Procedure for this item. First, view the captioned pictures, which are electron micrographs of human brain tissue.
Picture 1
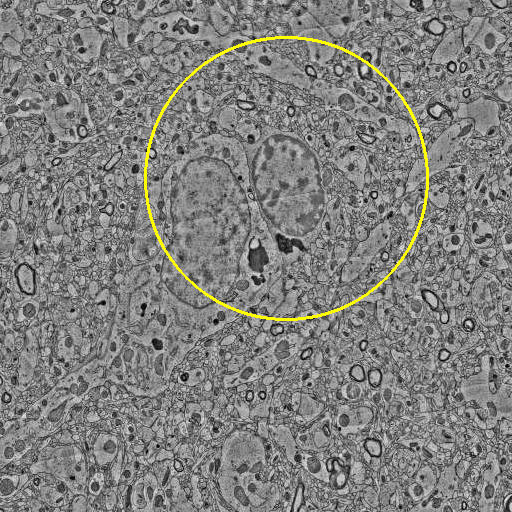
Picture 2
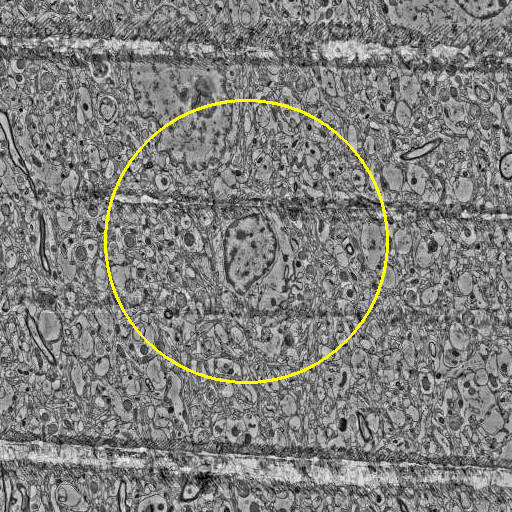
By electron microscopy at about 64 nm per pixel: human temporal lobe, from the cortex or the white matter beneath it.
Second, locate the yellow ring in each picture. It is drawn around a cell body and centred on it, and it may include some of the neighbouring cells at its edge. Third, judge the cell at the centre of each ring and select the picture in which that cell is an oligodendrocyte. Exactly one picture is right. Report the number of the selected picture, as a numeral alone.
1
